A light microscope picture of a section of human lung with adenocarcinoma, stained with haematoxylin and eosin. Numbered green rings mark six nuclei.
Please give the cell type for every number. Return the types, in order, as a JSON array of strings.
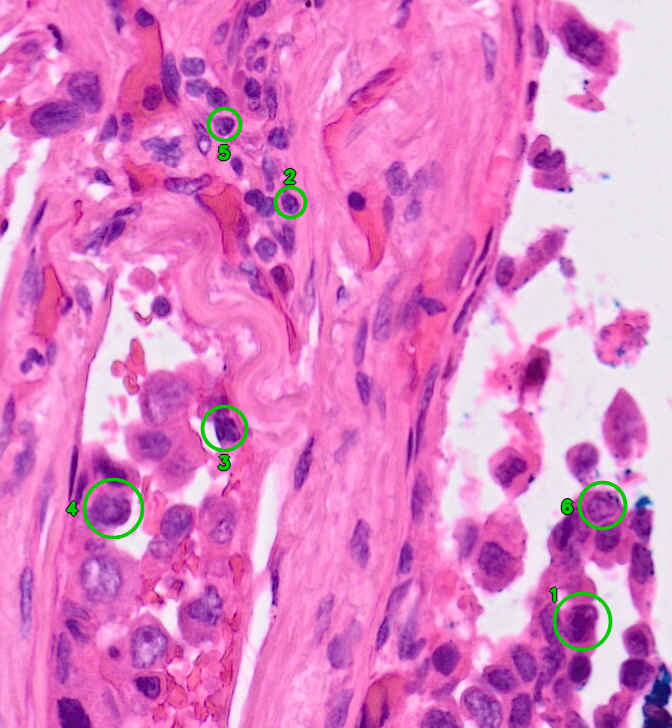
["carcinoma cell", "lymphocyte", "carcinoma cell", "carcinoma cell", "lymphocyte", "carcinoma cell"]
